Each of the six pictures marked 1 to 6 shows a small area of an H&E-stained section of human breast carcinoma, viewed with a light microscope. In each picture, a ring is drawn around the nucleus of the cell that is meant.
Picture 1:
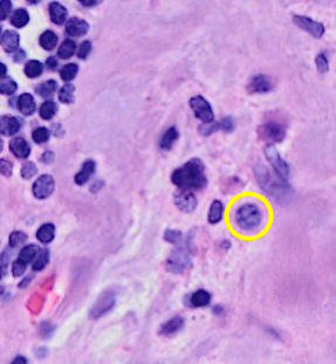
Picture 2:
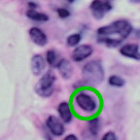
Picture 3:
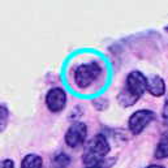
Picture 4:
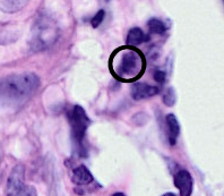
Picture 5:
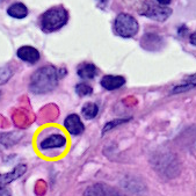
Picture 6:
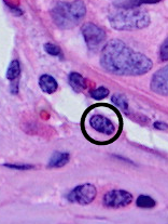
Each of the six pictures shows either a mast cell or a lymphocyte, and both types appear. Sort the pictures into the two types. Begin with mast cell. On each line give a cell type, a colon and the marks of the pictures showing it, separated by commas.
mast cell: 1, 6
lymphocyte: 2, 3, 4, 5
